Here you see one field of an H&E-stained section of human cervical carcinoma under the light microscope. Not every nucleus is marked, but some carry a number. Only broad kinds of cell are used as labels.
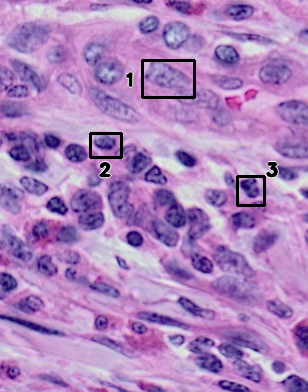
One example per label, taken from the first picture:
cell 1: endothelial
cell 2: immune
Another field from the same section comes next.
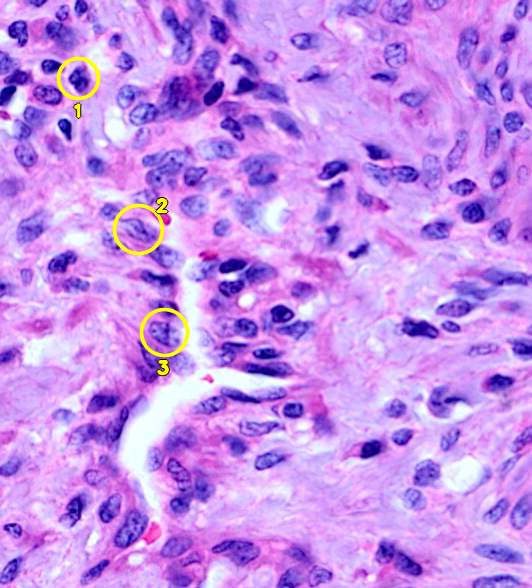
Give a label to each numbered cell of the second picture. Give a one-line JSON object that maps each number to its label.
{"1": "immune", "2": "endothelial", "3": "endothelial"}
